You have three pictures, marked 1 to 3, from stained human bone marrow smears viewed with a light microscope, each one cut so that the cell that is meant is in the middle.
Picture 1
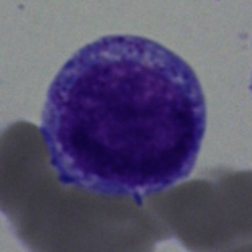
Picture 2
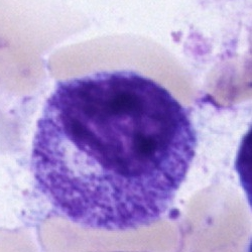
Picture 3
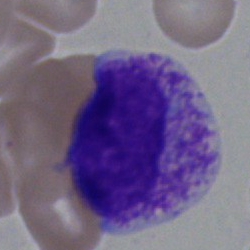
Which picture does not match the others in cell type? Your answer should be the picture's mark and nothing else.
1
